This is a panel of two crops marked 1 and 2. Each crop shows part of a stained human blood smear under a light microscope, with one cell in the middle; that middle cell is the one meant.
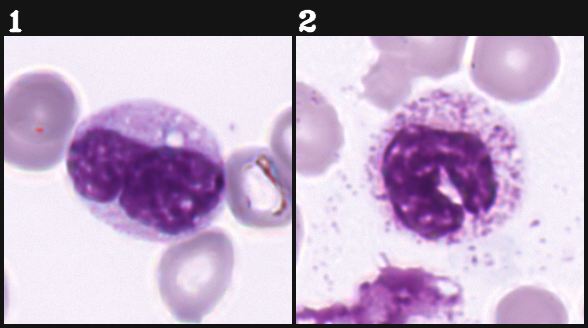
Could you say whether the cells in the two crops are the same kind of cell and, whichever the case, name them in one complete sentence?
Yes, it is band neutrophils that occupy the middle of both crops.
